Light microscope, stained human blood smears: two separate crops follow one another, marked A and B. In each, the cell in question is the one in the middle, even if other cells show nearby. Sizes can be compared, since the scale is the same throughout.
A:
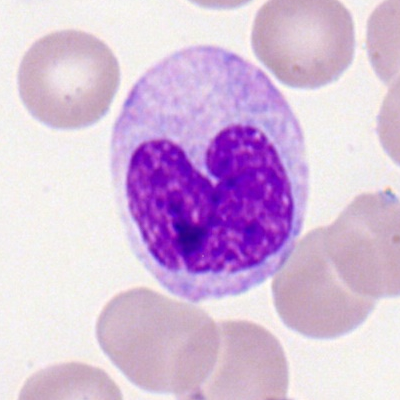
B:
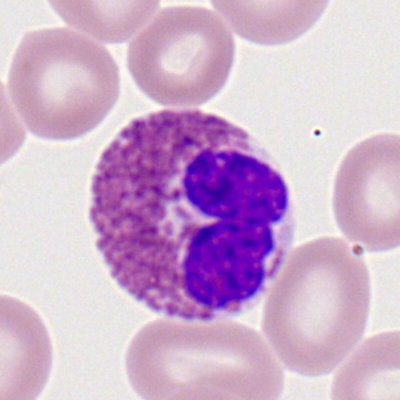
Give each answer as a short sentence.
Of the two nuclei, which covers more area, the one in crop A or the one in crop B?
The nucleus in crop A is larger, with about 1.5 times the area of the one in crop B.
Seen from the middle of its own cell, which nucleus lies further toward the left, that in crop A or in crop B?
It is the nucleus in crop A that lies further toward the left of its cell.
